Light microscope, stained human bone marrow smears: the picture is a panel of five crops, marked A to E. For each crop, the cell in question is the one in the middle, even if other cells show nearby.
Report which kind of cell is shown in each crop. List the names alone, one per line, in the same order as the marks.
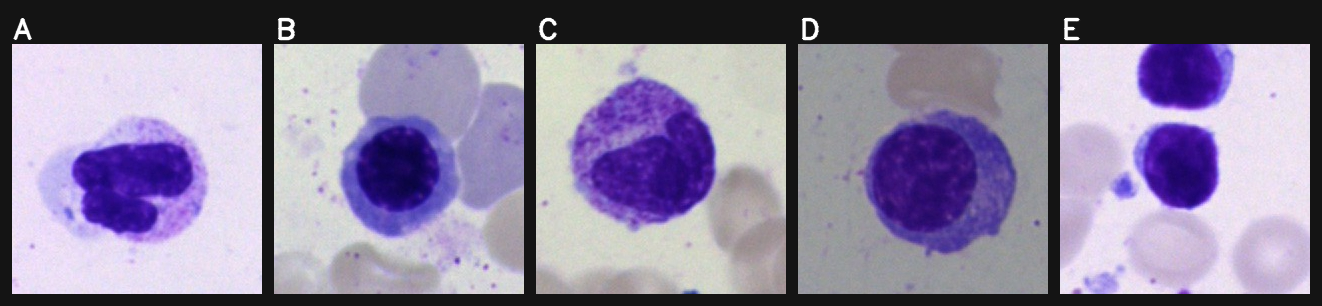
segmented neutrophil
erythroblast
metamyelocyte
plasma cell
lymphocyte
